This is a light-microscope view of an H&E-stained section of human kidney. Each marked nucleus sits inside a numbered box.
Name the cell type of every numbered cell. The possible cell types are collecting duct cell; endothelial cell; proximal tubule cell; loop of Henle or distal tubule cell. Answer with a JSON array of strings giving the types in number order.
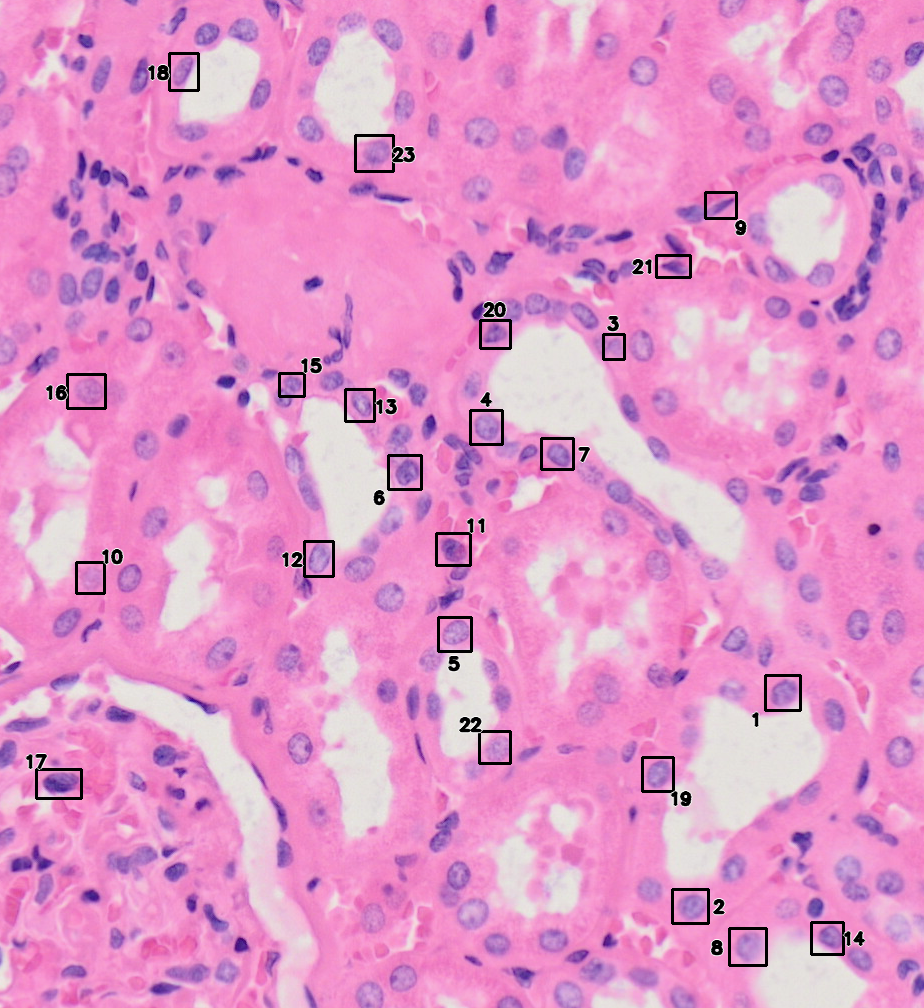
["loop of Henle or distal tubule cell", "loop of Henle or distal tubule cell", "collecting duct cell", "collecting duct cell", "loop of Henle or distal tubule cell", "collecting duct cell", "collecting duct cell", "loop of Henle or distal tubule cell", "endothelial cell", "proximal tubule cell", "endothelial cell", "collecting duct cell", "collecting duct cell", "loop of Henle or distal tubule cell", "collecting duct cell", "proximal tubule cell", "endothelial cell", "loop of Henle or distal tubule cell", "loop of Henle or distal tubule cell", "collecting duct cell", "endothelial cell", "loop of Henle or distal tubule cell", "loop of Henle or distal tubule cell"]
